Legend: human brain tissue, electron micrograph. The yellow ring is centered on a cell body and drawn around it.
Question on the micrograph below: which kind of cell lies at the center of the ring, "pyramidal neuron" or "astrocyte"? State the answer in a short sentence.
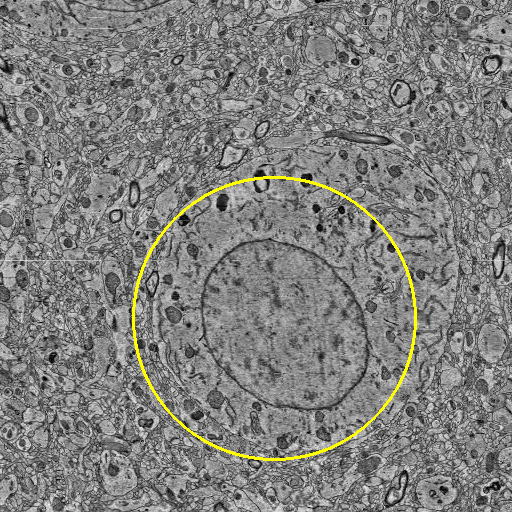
At the center of the ring lies a pyramidal neuron.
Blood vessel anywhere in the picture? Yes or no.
No, none appears.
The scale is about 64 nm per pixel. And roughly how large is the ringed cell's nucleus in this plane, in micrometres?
The ringed cell's nucleus is about 12 micrometres long and 10 micrometres wide in this plane.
